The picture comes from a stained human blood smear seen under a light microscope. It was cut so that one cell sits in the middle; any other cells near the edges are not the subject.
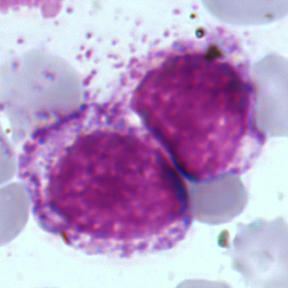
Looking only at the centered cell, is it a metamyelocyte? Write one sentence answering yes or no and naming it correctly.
No, the central cell is a myelocyte; it should not be labelled a metamyelocyte.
